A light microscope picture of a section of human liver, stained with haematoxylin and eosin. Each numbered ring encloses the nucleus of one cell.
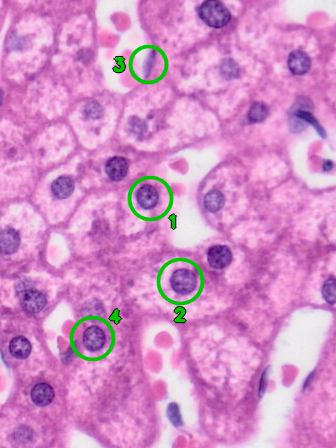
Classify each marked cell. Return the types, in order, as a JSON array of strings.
["hepatocyte", "hepatocyte", "endothelial cell", "hepatocyte"]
